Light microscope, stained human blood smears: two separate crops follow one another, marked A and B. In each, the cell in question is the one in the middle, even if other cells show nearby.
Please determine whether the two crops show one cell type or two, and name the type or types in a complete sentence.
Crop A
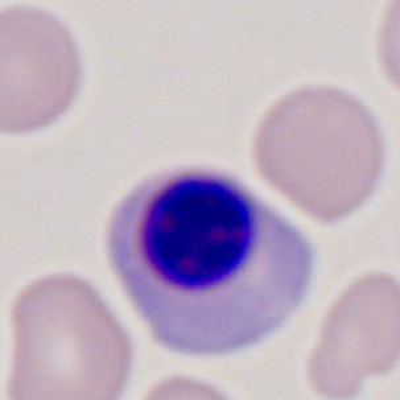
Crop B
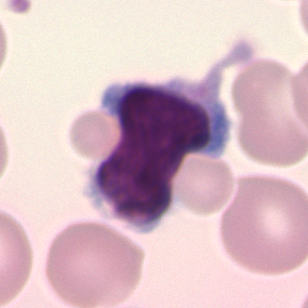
No, crop A is where an erythroblast is, and crop B is where a lymphocyte is.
